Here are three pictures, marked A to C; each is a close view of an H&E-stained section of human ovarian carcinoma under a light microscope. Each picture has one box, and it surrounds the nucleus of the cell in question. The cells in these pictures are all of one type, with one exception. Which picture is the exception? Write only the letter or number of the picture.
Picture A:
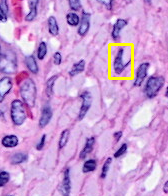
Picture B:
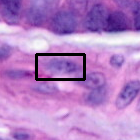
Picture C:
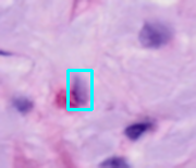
A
